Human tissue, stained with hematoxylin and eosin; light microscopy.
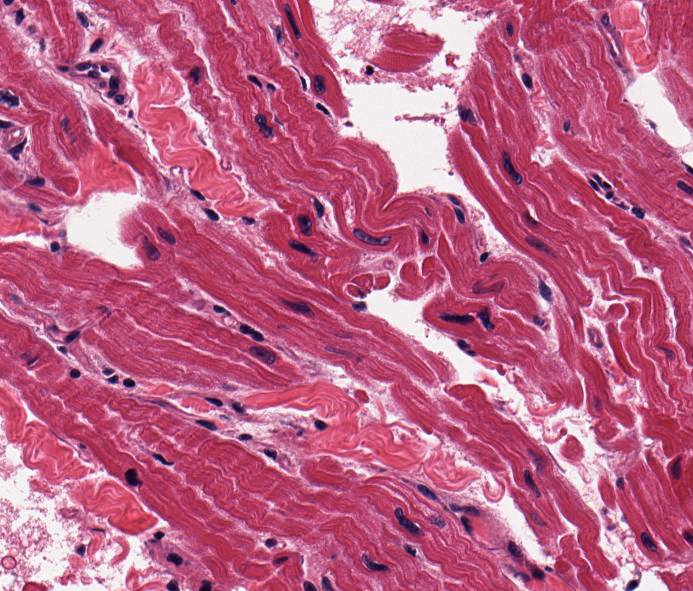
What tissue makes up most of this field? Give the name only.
myocardium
